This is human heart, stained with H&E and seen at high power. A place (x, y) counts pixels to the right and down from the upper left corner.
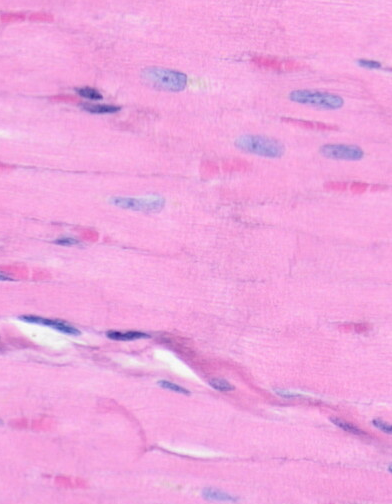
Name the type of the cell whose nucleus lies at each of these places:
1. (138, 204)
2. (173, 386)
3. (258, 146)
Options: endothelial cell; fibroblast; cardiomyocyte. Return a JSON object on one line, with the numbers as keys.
{"1": "cardiomyocyte", "2": "fibroblast", "3": "cardiomyocyte"}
